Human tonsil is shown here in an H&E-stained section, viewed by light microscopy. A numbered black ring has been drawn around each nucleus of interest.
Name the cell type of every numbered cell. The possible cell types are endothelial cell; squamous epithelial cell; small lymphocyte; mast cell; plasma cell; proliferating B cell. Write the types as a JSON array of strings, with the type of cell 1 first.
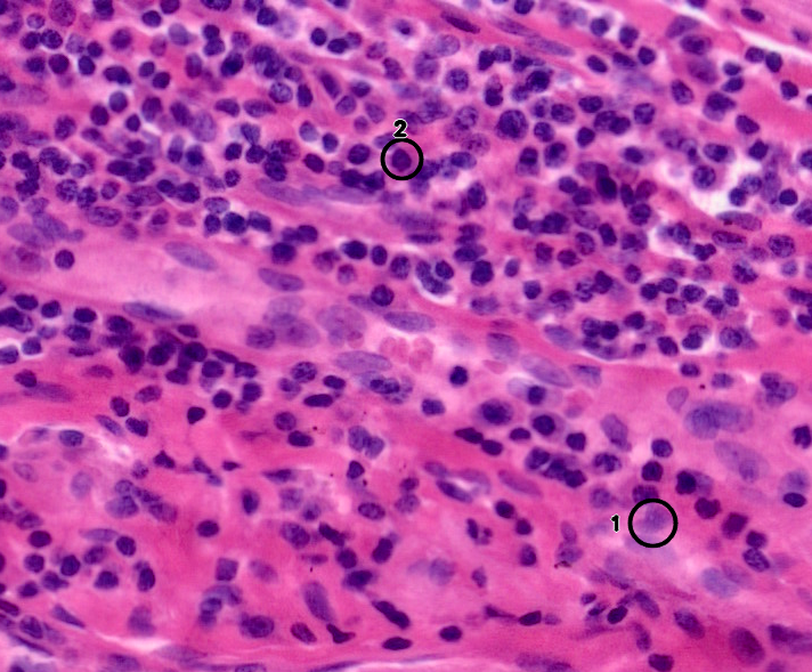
["endothelial cell", "plasma cell"]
